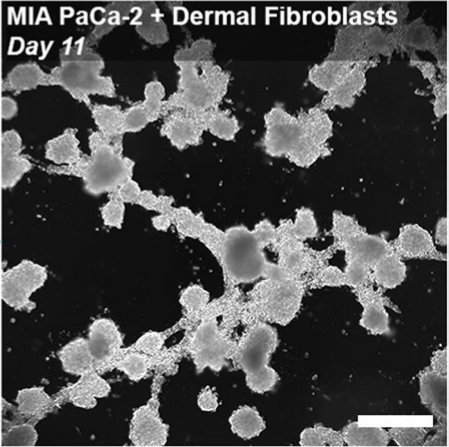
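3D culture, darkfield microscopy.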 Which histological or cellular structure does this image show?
non-spheroidal organoids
